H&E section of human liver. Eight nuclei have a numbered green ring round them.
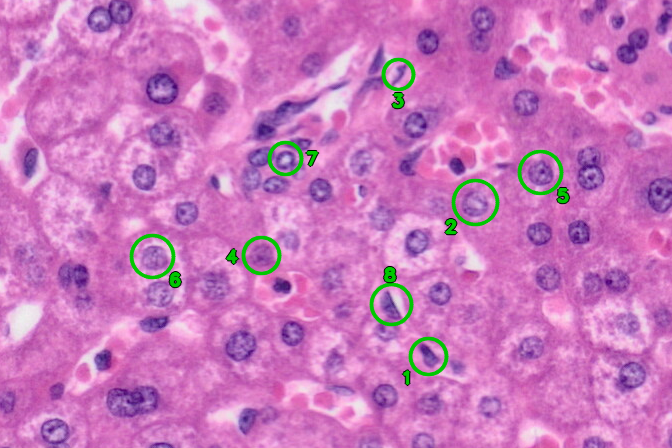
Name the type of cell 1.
lymphocyte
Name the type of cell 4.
hepatocyte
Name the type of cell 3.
fibroblast or stellate cell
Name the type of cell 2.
hepatocyte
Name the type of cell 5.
hepatocyte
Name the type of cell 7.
cholangiocyte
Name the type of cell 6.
hepatocyte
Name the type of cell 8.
endothelial cell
